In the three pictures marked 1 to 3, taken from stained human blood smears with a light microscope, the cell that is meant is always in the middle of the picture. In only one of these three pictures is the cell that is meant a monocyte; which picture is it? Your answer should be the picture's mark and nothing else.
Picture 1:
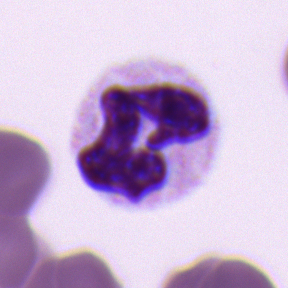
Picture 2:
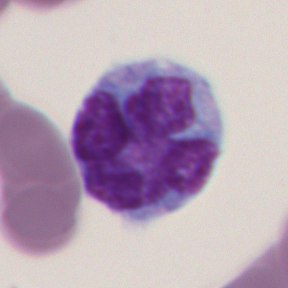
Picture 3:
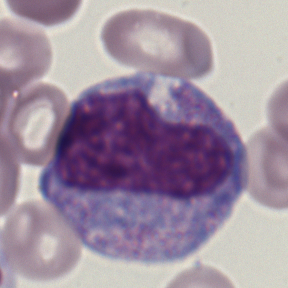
2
